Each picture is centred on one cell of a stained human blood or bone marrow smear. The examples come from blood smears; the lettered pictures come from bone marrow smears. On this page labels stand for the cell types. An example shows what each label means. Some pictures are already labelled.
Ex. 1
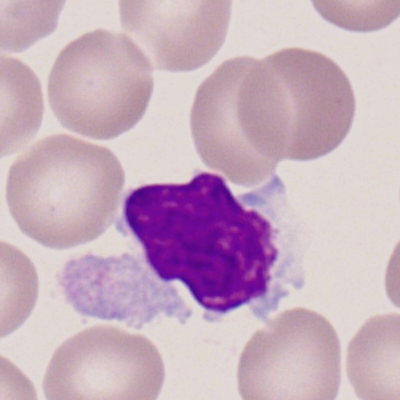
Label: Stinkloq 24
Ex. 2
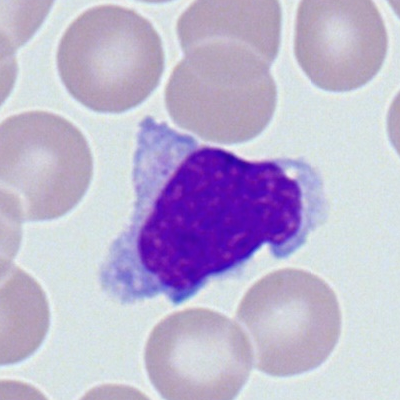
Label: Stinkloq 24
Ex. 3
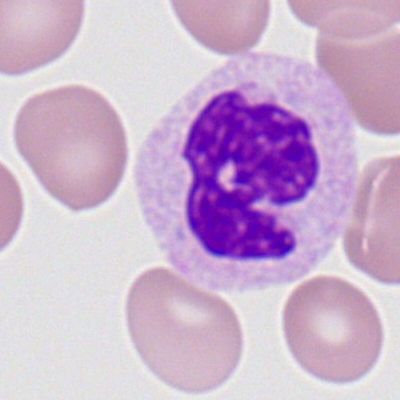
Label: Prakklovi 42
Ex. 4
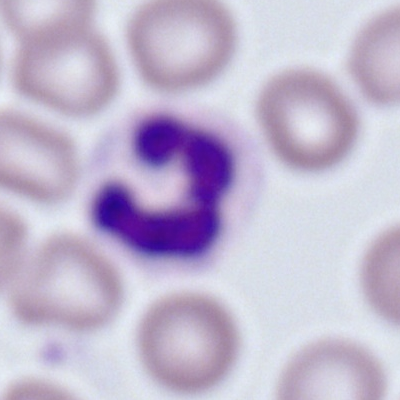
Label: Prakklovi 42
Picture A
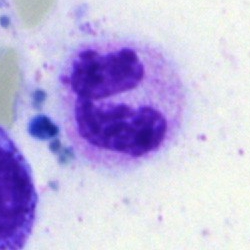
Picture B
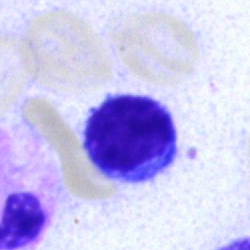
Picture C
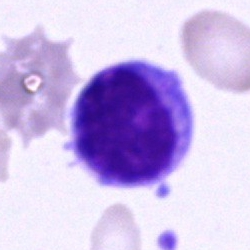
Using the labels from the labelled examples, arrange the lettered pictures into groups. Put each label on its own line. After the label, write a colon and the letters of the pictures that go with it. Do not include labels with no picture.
Stinkloq 24: B, C
Prakklovi 42: A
